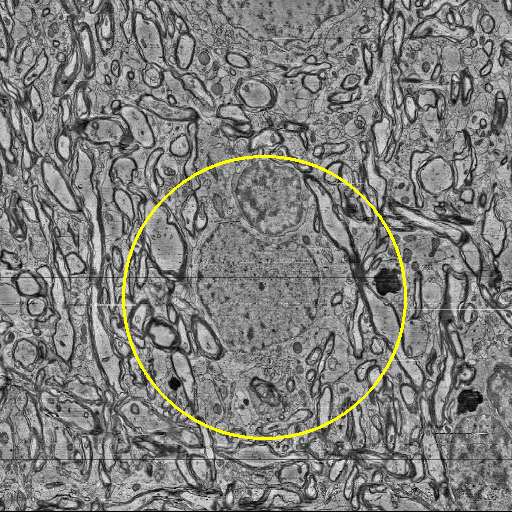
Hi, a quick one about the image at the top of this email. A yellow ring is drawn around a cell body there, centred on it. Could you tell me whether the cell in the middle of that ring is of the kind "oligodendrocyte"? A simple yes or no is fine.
no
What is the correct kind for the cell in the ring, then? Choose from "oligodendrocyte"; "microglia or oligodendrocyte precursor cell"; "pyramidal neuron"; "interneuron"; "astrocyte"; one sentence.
This picture has an astrocyte at the centre of its ring.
